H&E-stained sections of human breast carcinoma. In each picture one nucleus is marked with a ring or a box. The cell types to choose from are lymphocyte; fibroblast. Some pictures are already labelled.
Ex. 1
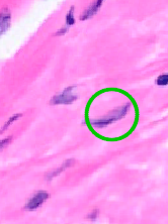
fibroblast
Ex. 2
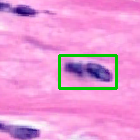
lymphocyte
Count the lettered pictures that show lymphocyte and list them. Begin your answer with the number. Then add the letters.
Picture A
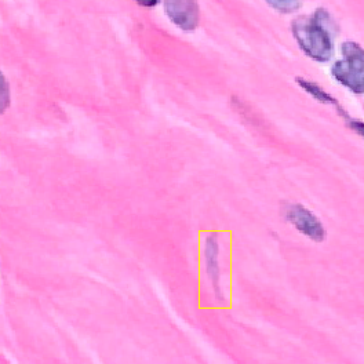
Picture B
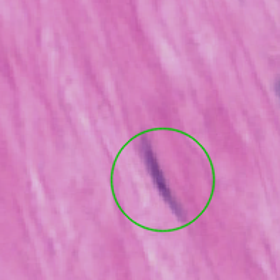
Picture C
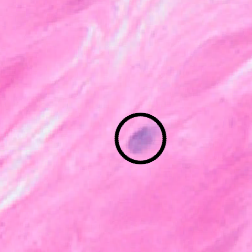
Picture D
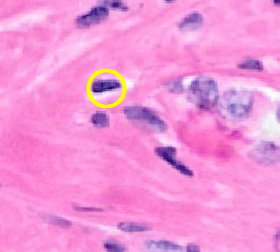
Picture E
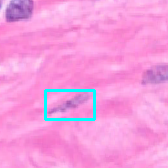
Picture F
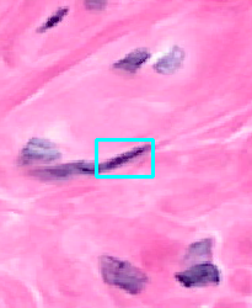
Count: 1 (D)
